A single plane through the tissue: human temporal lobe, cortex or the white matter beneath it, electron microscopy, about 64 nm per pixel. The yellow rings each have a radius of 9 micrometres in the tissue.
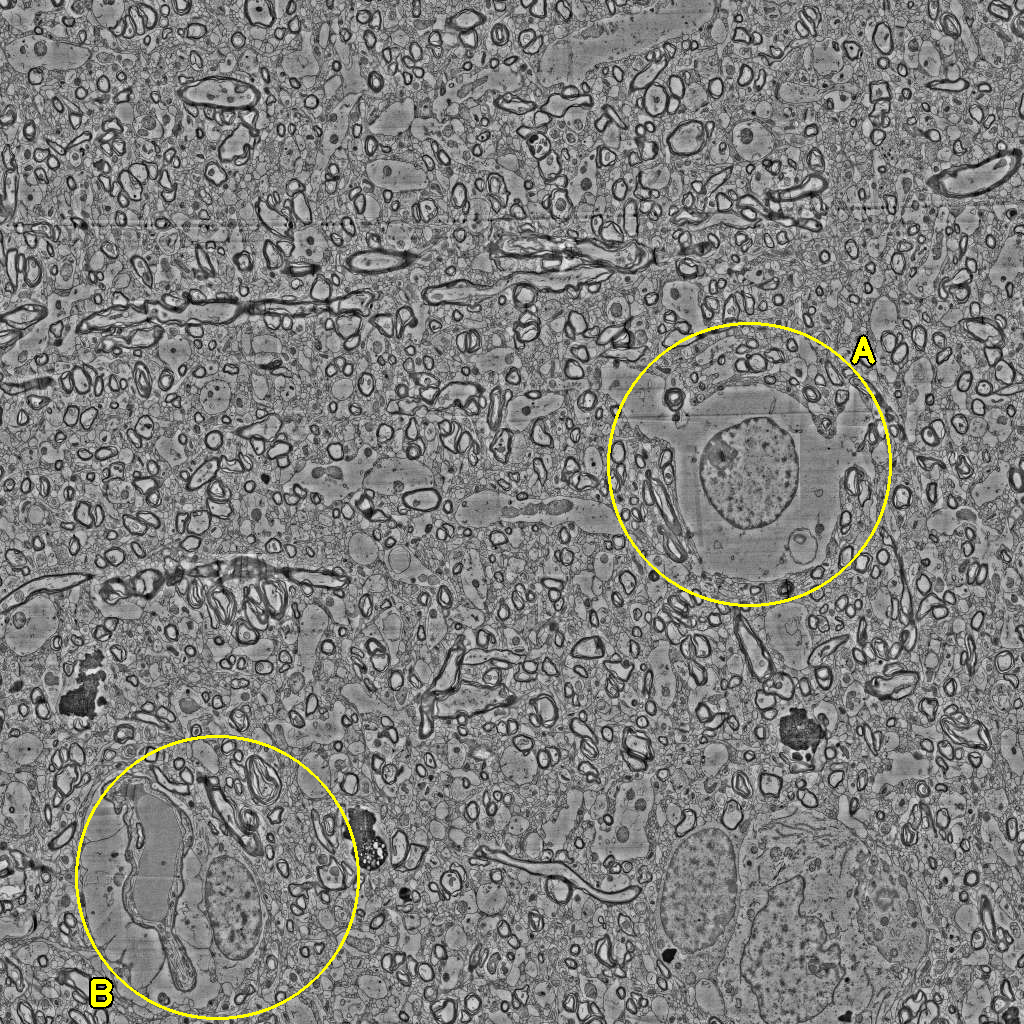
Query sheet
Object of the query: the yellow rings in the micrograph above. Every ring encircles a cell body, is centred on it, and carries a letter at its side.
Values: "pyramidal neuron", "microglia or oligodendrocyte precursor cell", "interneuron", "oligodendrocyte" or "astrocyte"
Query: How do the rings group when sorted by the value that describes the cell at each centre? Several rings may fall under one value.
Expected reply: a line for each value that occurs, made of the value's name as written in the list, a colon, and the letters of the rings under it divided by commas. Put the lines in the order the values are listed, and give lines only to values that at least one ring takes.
microglia or oligodendrocyte precursor cell: B
astrocyte: A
